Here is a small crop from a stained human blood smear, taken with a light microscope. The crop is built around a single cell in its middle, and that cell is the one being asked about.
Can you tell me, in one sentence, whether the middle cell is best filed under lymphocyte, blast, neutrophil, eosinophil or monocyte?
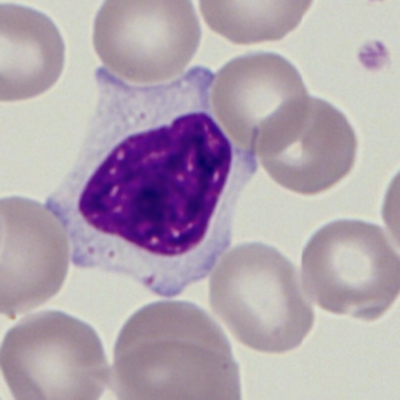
For this crop, the central cell is a lymphocyte.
